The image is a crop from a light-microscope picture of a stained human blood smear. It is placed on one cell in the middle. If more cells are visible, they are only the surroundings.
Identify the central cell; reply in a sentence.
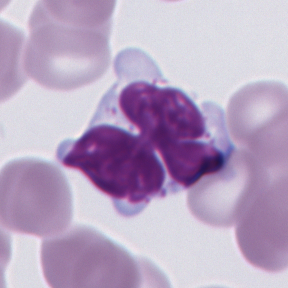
The cell that lies at the centre of the crop is a large granular lymphocyte.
